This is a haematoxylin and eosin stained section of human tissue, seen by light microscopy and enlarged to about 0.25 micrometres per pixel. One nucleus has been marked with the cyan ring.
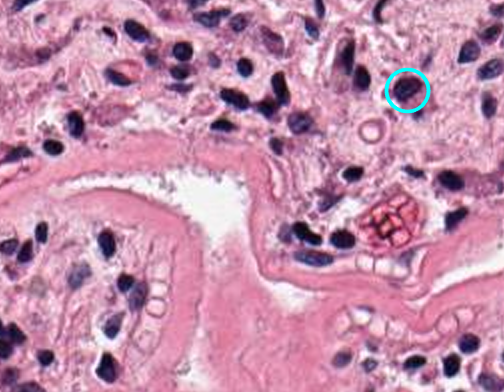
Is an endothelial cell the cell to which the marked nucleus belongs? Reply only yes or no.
no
